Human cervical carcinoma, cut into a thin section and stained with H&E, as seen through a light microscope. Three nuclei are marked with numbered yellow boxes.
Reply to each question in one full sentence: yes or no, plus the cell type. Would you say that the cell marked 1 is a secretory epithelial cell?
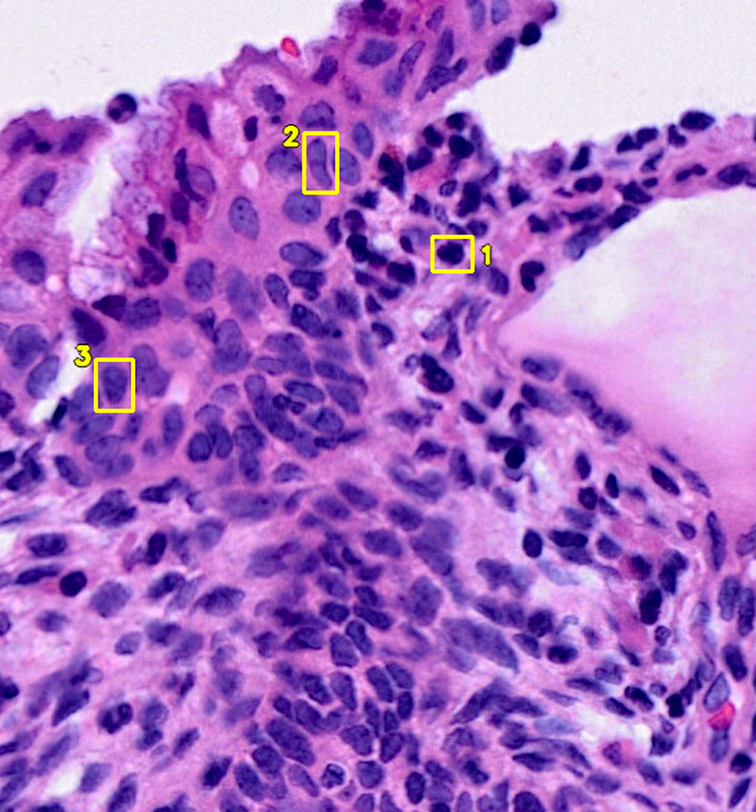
No, a lymphocyte, not a secretory epithelial cell, is the cell with number 1.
